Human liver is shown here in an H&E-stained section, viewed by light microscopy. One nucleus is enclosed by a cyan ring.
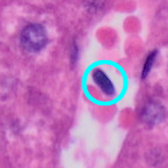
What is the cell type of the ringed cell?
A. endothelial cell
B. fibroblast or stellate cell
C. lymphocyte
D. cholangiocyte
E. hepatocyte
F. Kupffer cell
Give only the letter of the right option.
C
